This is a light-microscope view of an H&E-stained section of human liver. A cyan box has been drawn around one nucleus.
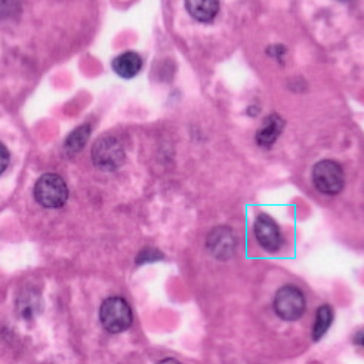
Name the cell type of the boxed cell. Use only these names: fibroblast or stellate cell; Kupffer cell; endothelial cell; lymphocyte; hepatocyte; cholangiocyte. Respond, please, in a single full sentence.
Histopathologically, the boxed cell is a Kupffer cell.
